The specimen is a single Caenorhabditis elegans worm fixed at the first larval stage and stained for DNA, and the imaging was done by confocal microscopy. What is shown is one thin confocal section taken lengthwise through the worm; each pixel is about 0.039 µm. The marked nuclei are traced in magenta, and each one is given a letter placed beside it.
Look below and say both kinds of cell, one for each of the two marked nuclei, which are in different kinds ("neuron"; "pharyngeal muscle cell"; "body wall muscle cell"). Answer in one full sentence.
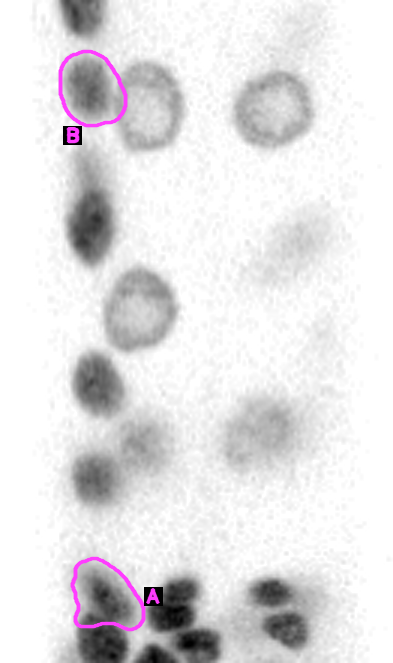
A is from a body wall muscle cell, and B is from a neuron.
